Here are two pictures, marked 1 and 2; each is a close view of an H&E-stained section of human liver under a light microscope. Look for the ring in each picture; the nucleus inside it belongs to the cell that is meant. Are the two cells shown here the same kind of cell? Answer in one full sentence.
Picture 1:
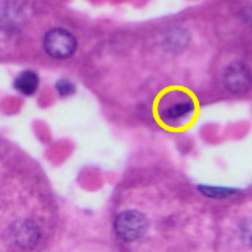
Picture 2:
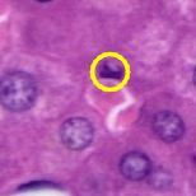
Yes, both cells are “fibroblasts or stellate cells”.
